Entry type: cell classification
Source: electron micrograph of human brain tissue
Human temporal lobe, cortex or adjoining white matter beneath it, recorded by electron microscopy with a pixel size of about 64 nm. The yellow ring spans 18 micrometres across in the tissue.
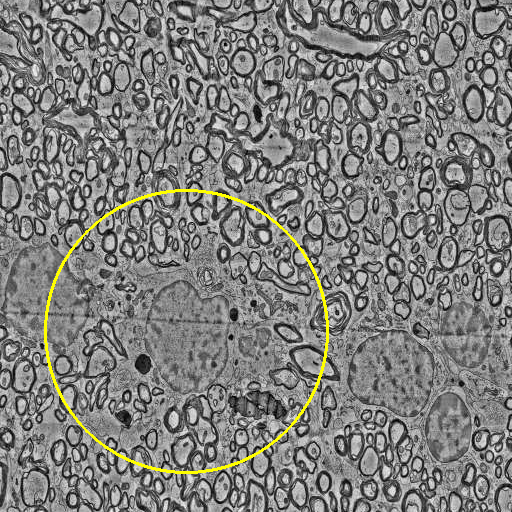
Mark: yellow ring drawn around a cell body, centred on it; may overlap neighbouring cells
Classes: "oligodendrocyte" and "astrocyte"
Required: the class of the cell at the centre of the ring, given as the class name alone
oligodendrocyte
